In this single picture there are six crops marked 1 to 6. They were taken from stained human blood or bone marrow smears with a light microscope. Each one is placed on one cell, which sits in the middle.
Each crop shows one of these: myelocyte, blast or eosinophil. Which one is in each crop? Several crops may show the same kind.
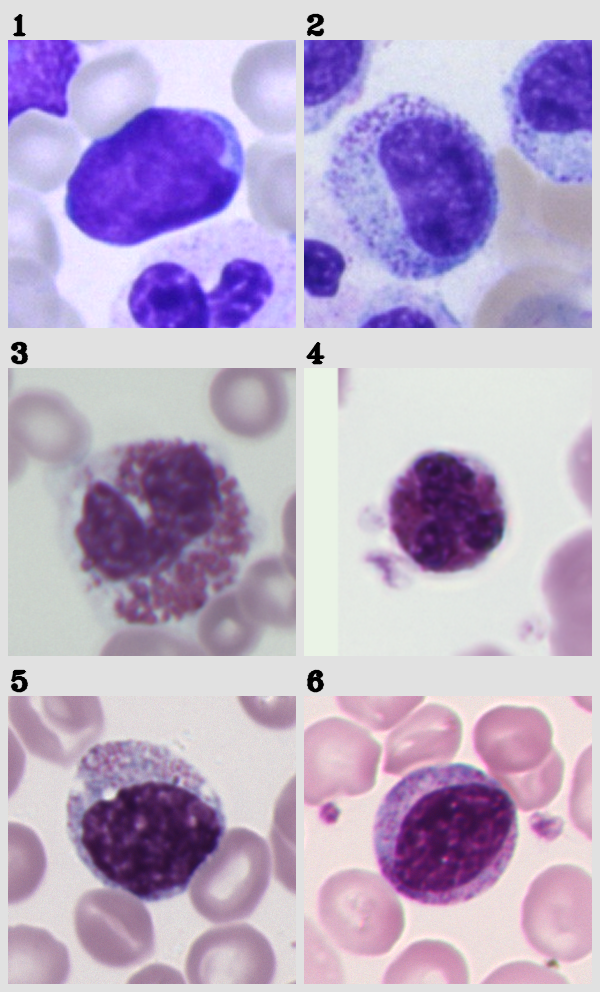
1: blast
2: myelocyte
3: eosinophil
4: eosinophil
5: myelocyte
6: myelocyte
